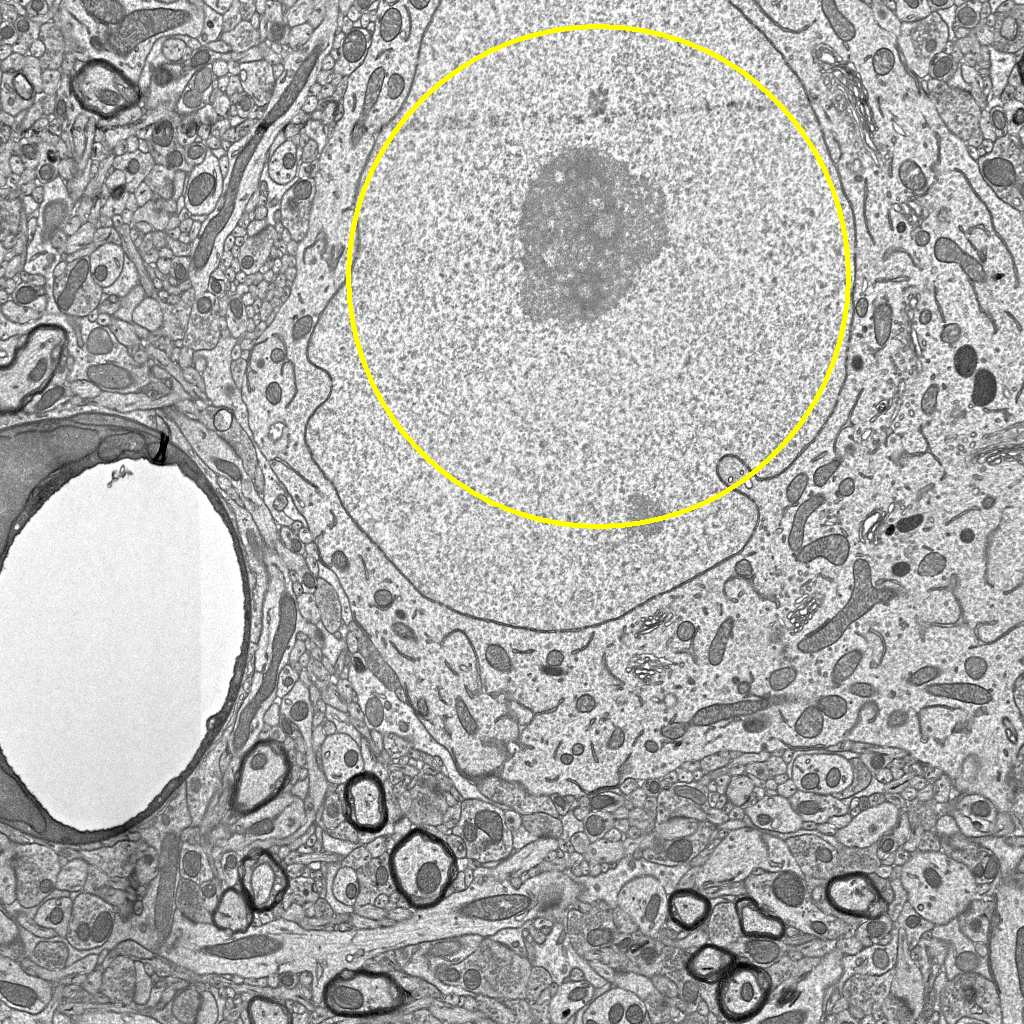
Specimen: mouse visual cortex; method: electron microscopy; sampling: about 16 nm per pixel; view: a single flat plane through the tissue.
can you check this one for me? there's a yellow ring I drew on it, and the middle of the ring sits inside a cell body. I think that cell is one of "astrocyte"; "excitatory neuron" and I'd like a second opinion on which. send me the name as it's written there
excitatory neuron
